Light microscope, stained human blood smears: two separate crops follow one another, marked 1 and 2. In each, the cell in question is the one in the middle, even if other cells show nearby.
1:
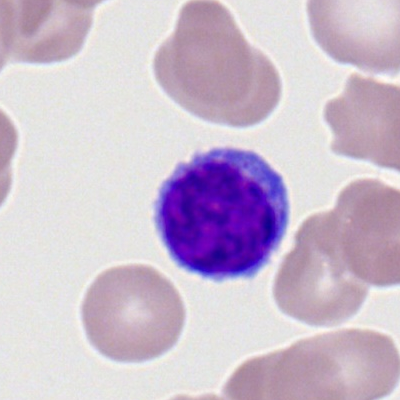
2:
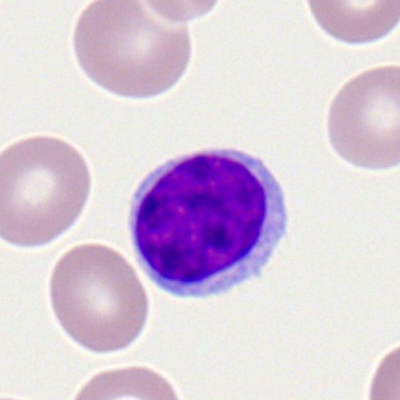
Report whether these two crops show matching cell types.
yes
